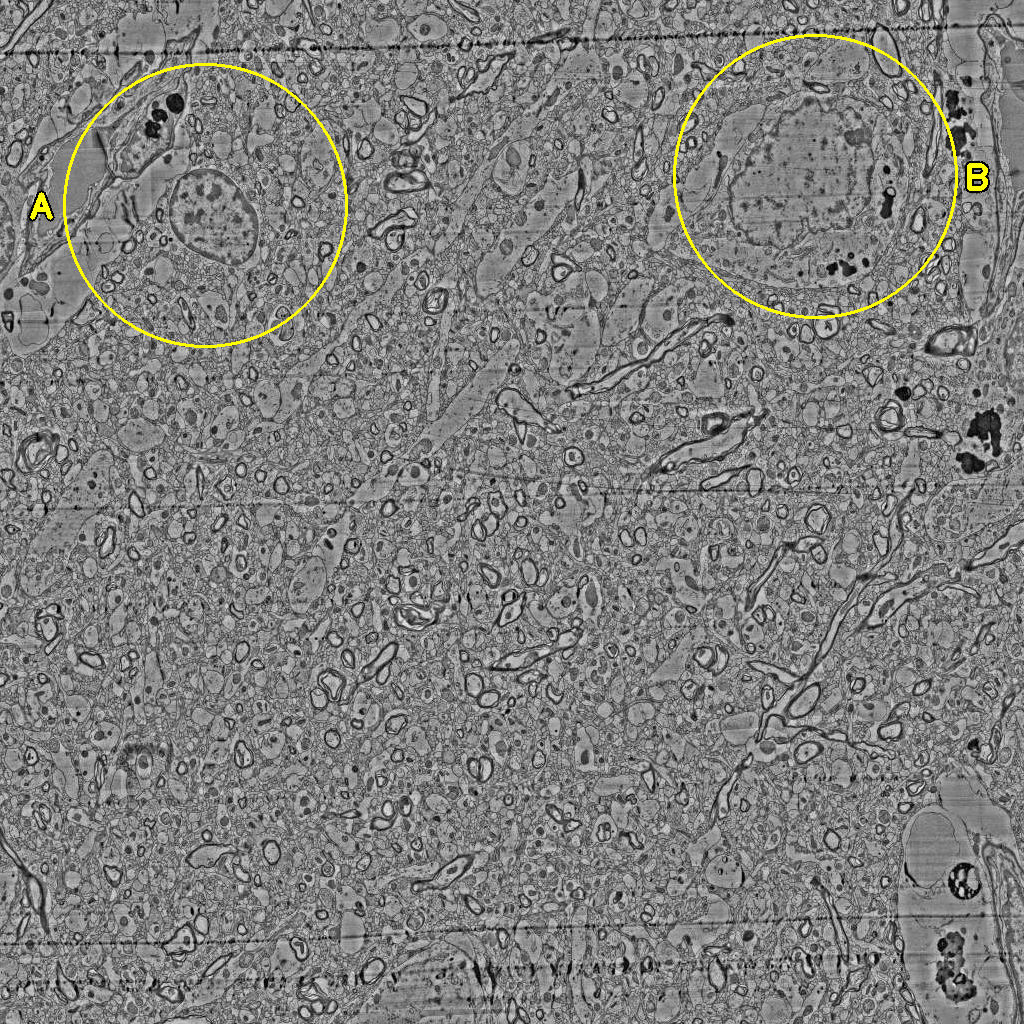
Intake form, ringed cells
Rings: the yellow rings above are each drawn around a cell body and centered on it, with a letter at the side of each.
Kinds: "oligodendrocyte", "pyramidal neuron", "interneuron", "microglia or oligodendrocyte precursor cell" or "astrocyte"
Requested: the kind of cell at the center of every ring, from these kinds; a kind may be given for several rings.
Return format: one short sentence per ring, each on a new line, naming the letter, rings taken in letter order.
In the center of ring A there is a microglial cell or oligodendrocyte precursor cell.
In the center of ring B there is an interneuron.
